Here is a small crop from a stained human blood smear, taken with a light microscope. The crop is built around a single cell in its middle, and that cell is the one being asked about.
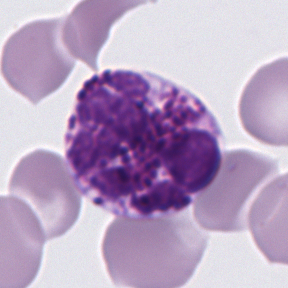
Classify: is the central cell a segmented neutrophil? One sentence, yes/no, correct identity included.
No, the cell of interest here is a basophil and not a segmented neutrophil.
